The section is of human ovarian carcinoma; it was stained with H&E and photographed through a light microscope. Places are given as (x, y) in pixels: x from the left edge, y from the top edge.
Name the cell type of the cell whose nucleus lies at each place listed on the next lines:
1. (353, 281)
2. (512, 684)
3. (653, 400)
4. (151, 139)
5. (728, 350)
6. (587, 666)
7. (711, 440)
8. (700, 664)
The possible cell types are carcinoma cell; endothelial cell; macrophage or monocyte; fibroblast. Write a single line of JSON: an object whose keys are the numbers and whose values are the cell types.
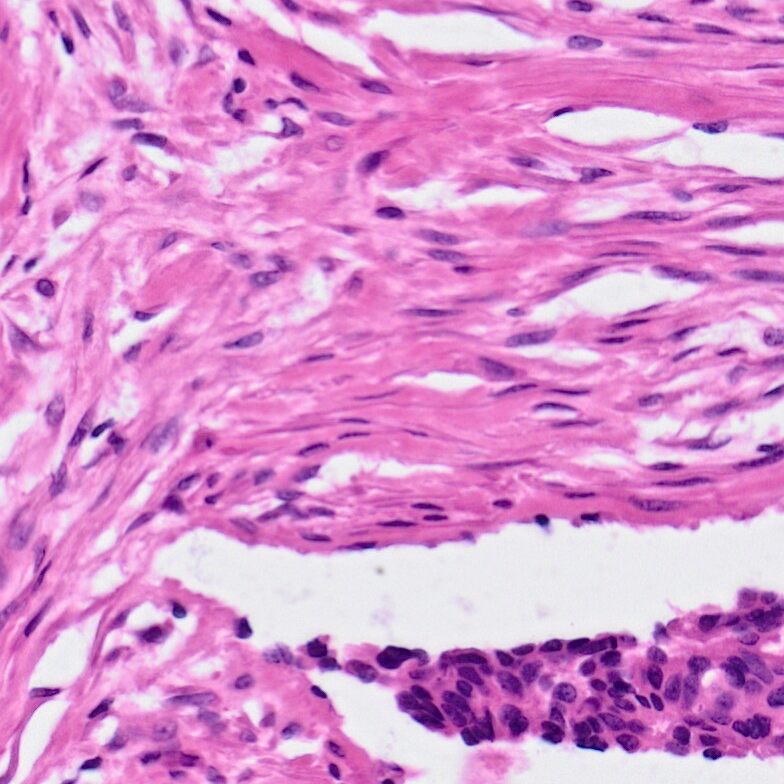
{"1": "fibroblast", "2": "carcinoma cell", "3": "fibroblast", "4": "fibroblast", "5": "fibroblast", "6": "carcinoma cell", "7": "fibroblast", "8": "carcinoma cell"}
